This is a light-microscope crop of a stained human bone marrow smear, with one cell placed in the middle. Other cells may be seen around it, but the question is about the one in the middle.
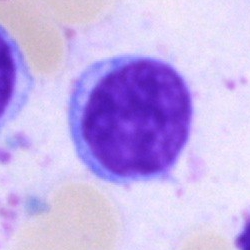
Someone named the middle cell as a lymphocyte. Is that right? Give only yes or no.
yes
